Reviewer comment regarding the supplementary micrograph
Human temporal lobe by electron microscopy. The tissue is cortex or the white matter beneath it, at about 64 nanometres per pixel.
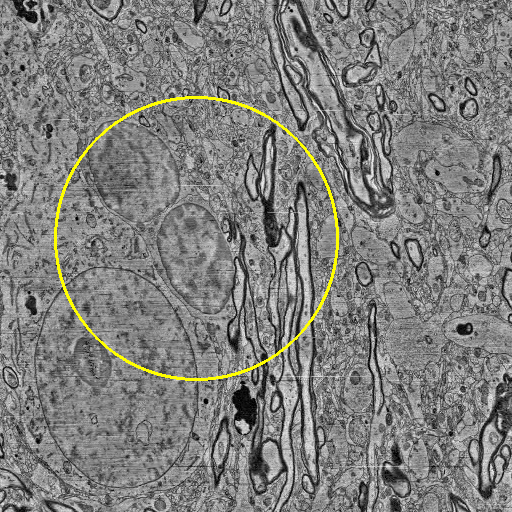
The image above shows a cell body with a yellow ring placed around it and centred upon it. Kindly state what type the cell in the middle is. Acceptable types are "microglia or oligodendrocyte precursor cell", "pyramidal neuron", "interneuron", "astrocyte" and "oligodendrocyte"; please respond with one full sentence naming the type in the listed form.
In the image above, the cell on which the yellow ring is centred is an oligodendrocyte.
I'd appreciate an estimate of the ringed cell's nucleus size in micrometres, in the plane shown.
Roughly 7 micrometres by 4 micrometres, so the nucleus is clearly longer than it is wide in this plane.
